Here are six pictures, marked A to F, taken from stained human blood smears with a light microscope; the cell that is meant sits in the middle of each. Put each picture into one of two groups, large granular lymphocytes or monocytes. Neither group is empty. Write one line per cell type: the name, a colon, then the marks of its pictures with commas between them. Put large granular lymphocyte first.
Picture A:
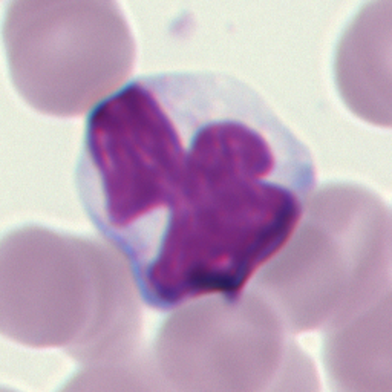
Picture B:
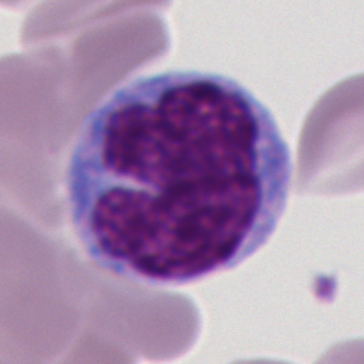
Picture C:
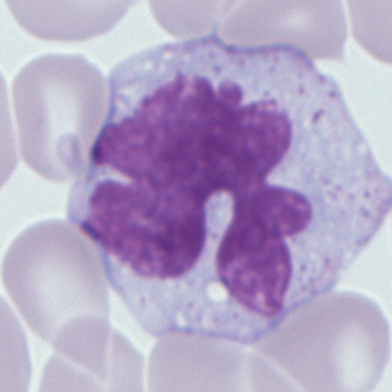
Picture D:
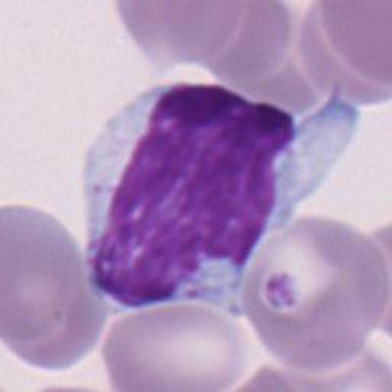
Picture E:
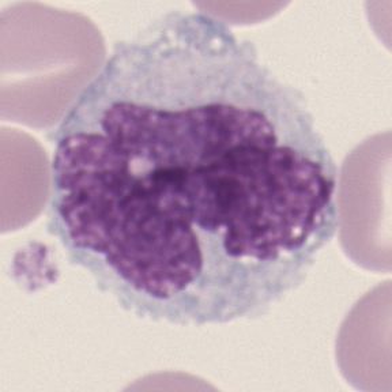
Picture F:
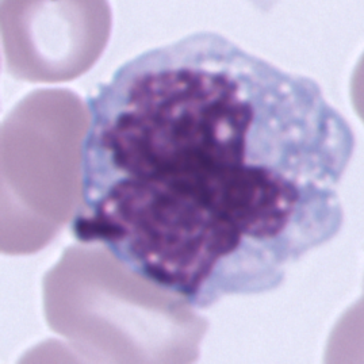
large granular lymphocyte: A, D
monocyte: B, C, E, F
